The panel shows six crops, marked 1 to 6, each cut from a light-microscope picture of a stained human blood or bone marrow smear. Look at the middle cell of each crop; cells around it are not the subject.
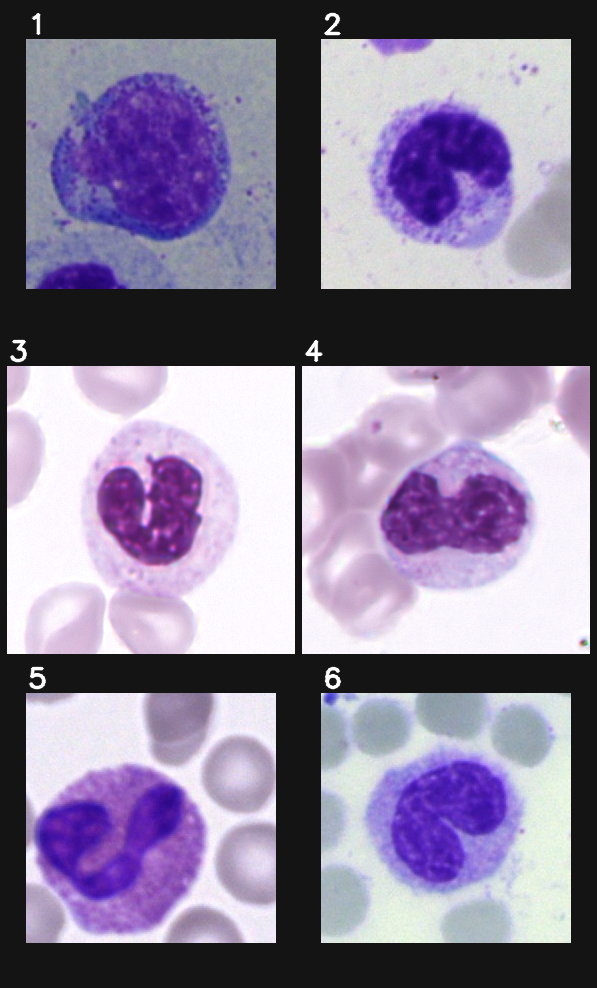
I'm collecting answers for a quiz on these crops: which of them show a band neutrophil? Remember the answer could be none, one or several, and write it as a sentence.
Classification of crops 2, 3, 4 and 6: the central cells are band neutrophils.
